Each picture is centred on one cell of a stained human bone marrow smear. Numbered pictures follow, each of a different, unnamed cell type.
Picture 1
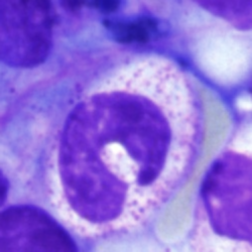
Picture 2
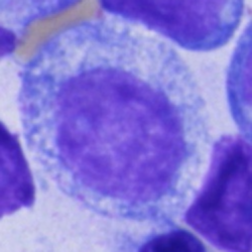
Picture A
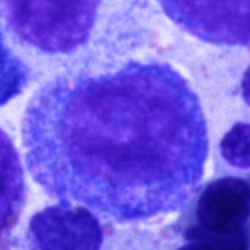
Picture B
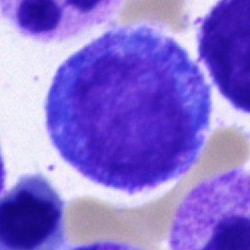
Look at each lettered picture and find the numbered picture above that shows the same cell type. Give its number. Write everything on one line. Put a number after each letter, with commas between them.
A 2, B 2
